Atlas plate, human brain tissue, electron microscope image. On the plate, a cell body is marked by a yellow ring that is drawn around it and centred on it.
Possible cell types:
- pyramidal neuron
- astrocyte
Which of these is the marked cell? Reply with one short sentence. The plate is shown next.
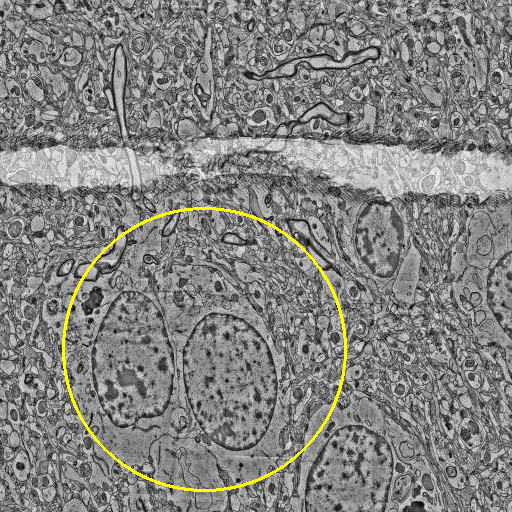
The marked cell is an astrocyte.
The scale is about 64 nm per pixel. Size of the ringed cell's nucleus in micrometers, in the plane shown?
Approximately 9 micrometres long and 6 micrometres wide, so clearly longer than it is wide in this plane.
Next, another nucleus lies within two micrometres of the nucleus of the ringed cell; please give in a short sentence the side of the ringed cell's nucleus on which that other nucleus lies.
The other nucleus can be seen to the left of it.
